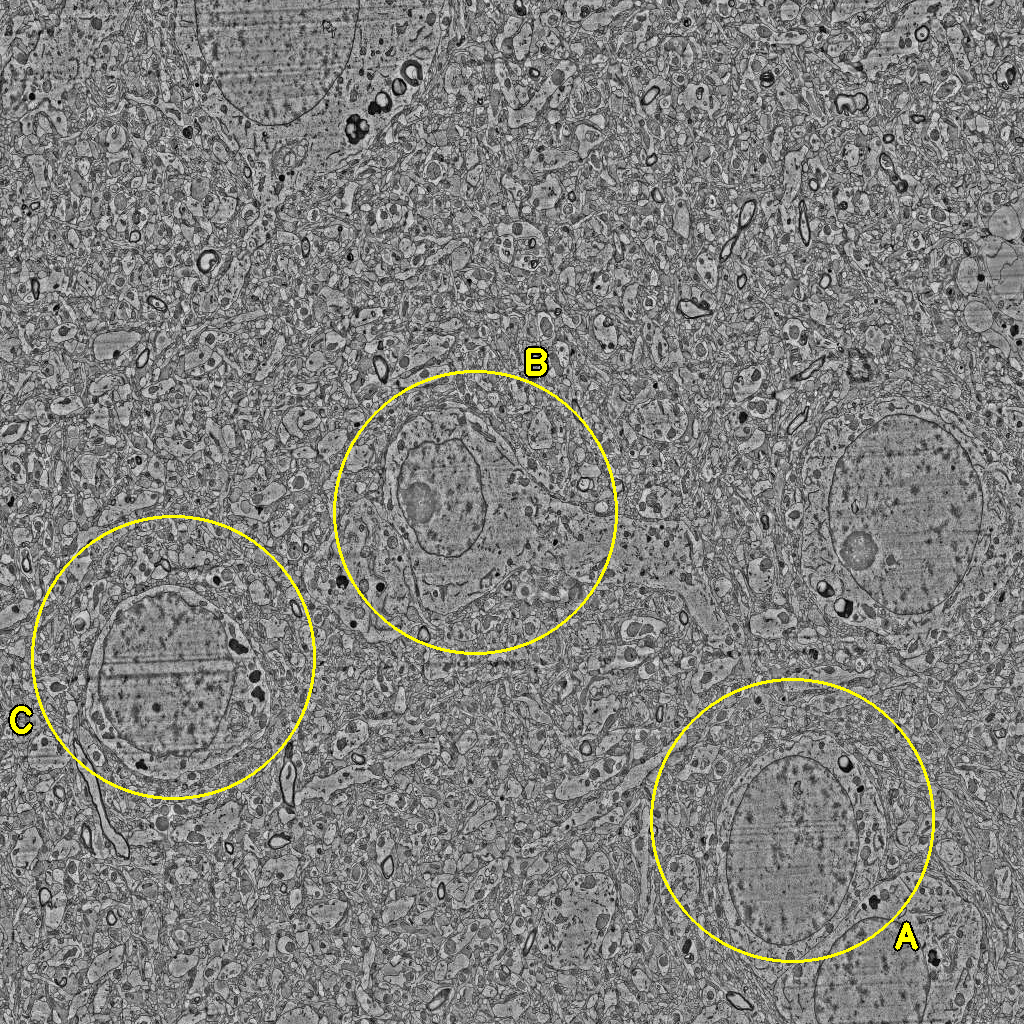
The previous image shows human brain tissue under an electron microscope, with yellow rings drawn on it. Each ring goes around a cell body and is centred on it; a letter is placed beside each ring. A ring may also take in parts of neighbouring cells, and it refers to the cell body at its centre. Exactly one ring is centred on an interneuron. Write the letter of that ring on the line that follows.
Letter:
C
